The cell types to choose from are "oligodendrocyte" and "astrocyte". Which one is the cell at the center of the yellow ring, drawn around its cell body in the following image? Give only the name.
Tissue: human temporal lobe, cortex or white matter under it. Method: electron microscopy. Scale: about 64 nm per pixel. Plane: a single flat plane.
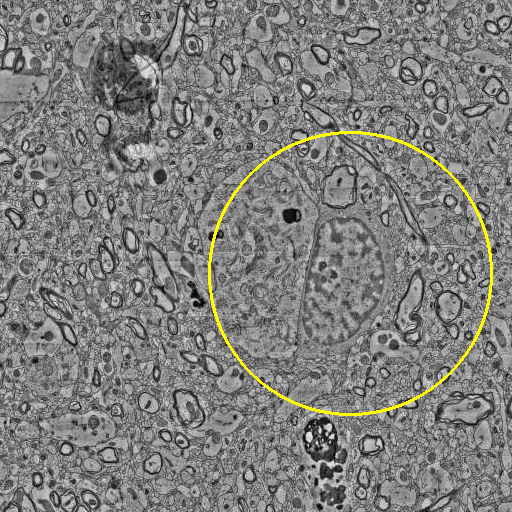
oligodendrocyte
